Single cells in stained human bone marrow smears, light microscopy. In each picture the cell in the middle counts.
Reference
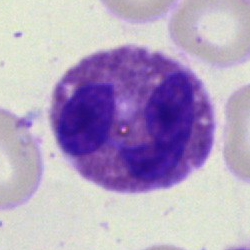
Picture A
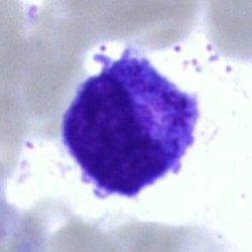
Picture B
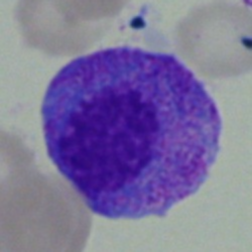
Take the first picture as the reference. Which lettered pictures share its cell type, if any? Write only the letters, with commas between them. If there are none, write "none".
none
